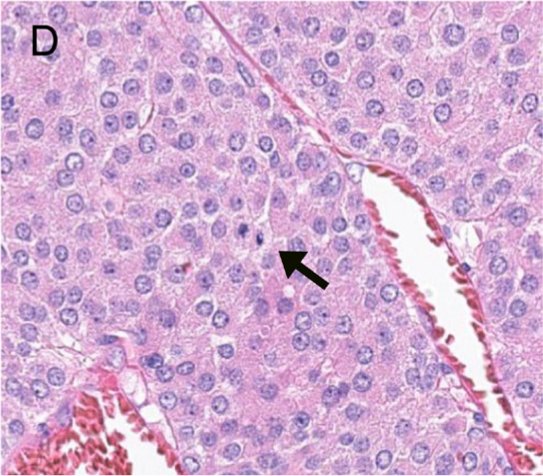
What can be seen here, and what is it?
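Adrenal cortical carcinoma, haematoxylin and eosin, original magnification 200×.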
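Sheet of polygonal tumour cells with abundant pale pink, finely granular cytoplasm and distinct cell borders. Nuclei are round to oval with open chromatin and visible nucleoli. A thin vascular channel lined by flattened cells and holding red blood cells crosses the field.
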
